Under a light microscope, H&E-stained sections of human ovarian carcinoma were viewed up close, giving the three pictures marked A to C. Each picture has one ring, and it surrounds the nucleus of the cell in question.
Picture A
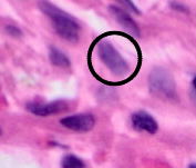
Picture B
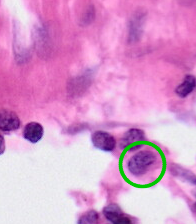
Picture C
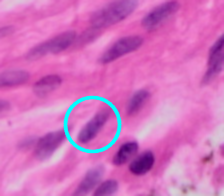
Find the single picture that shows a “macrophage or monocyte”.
B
